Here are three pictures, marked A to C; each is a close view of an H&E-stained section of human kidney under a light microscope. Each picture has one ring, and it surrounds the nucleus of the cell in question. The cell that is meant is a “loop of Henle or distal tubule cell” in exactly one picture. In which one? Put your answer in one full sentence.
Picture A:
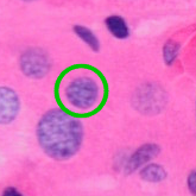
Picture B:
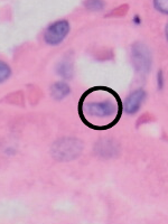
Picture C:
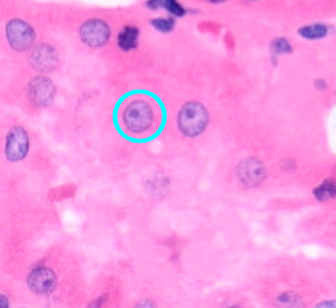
The picture with the “loop of Henle or distal tubule cell” is A.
